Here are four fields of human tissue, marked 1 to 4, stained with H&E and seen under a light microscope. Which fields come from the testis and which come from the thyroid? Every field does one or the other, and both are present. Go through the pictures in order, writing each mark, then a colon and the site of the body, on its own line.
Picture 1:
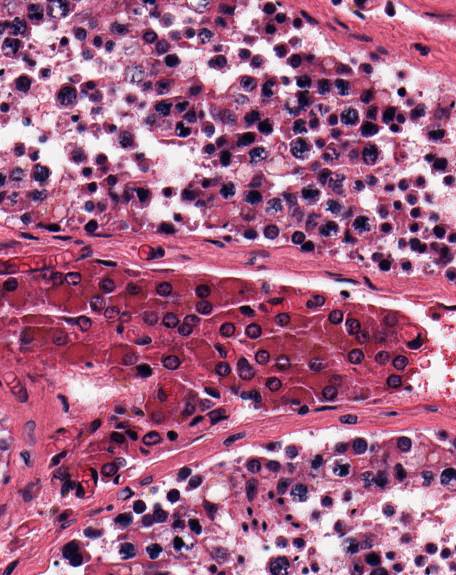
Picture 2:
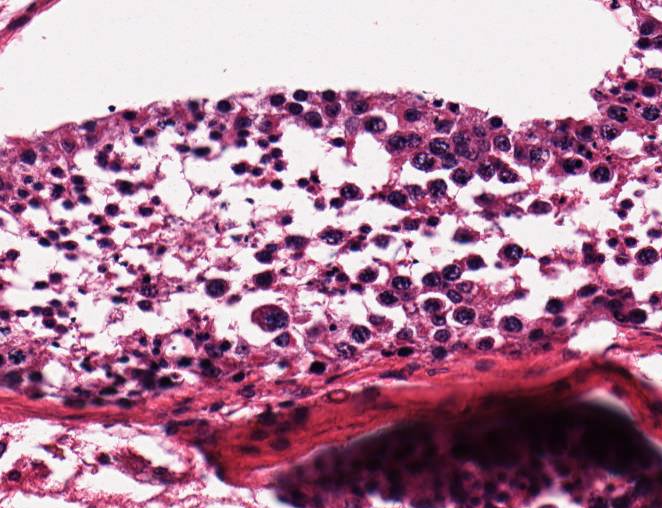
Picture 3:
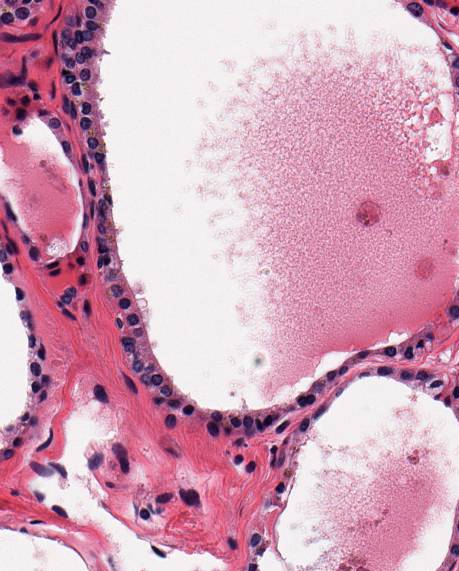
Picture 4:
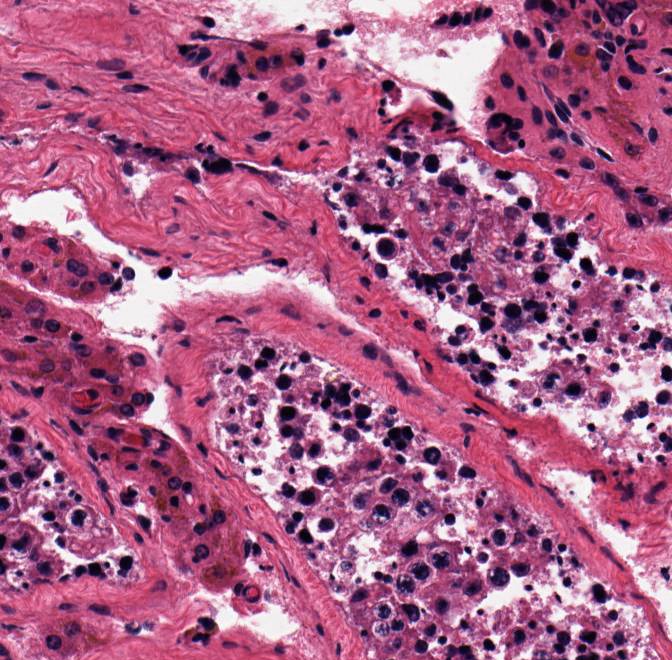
1: testis
2: testis
3: thyroid
4: testis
